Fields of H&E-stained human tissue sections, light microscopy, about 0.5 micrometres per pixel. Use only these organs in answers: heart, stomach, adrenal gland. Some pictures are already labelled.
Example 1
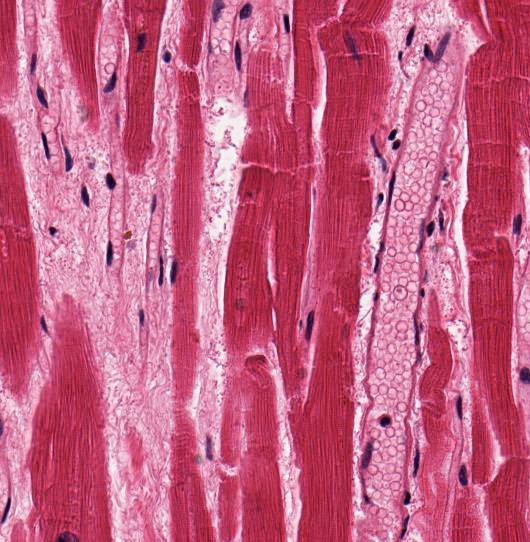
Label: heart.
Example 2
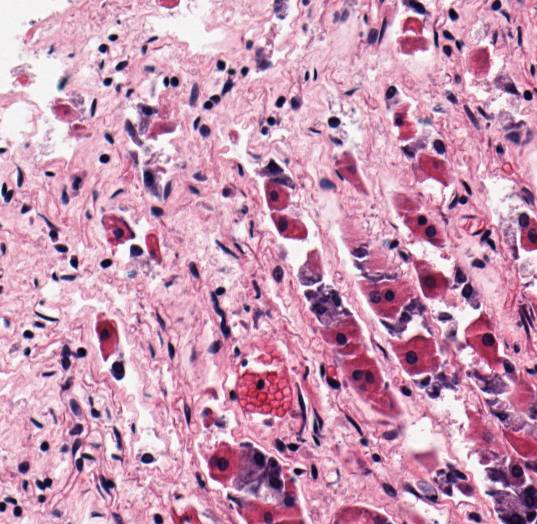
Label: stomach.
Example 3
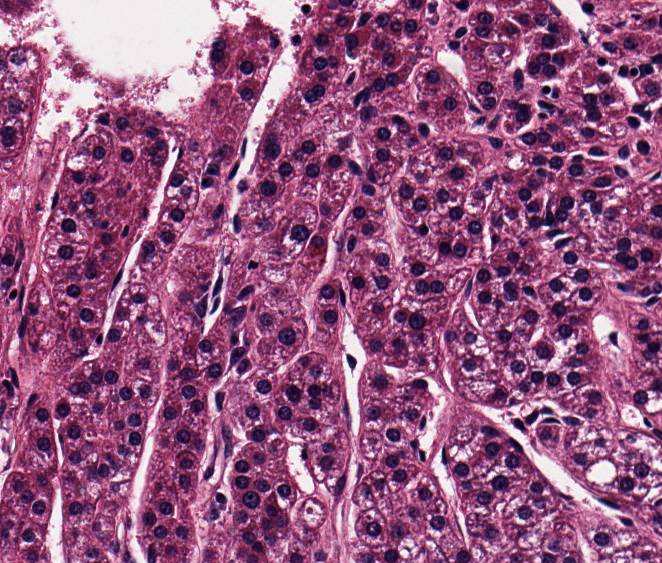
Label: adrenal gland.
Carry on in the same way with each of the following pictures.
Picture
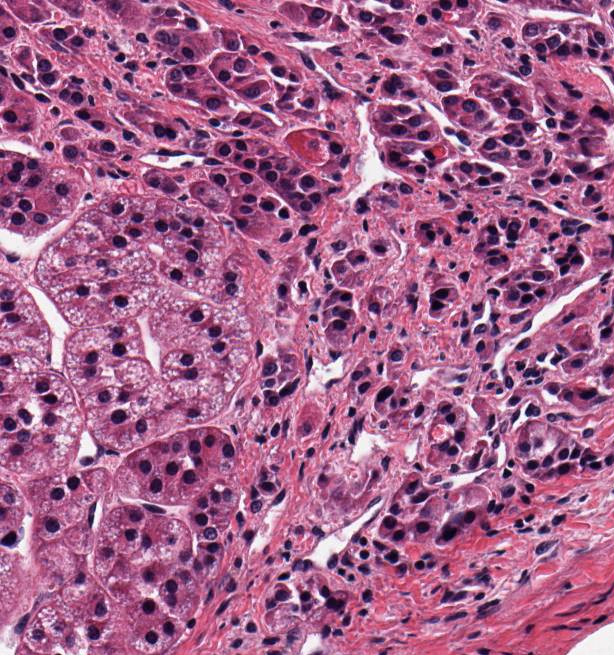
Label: adrenal gland.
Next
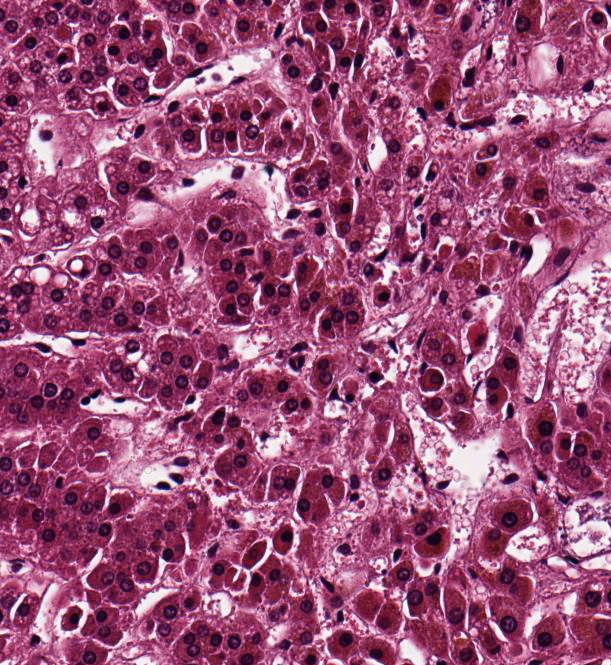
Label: adrenal gland.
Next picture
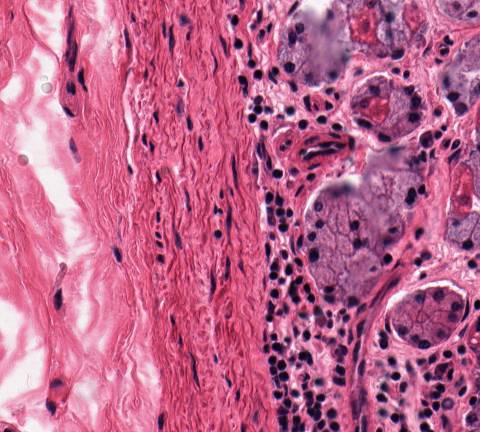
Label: stomach.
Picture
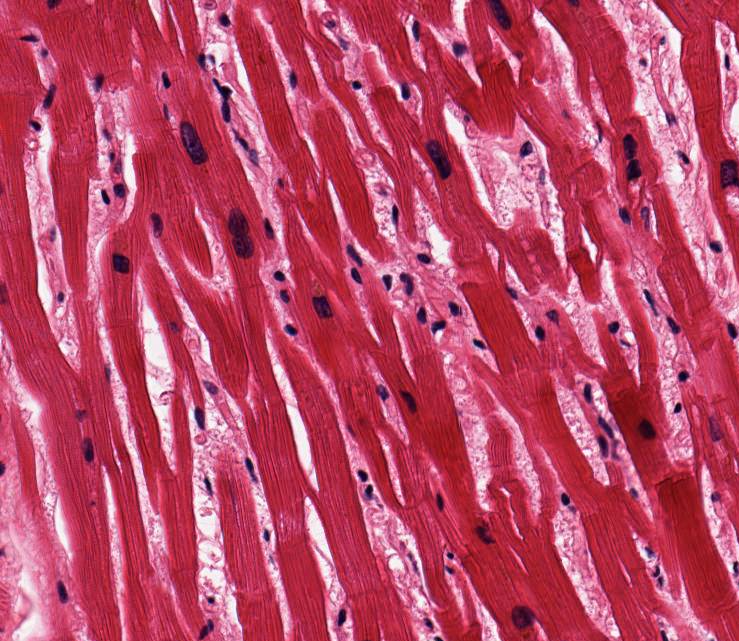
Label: heart.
